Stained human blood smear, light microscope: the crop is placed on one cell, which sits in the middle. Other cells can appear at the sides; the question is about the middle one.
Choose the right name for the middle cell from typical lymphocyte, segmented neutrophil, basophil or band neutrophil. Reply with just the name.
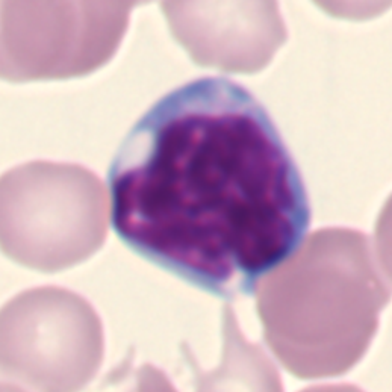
typical lymphocyte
